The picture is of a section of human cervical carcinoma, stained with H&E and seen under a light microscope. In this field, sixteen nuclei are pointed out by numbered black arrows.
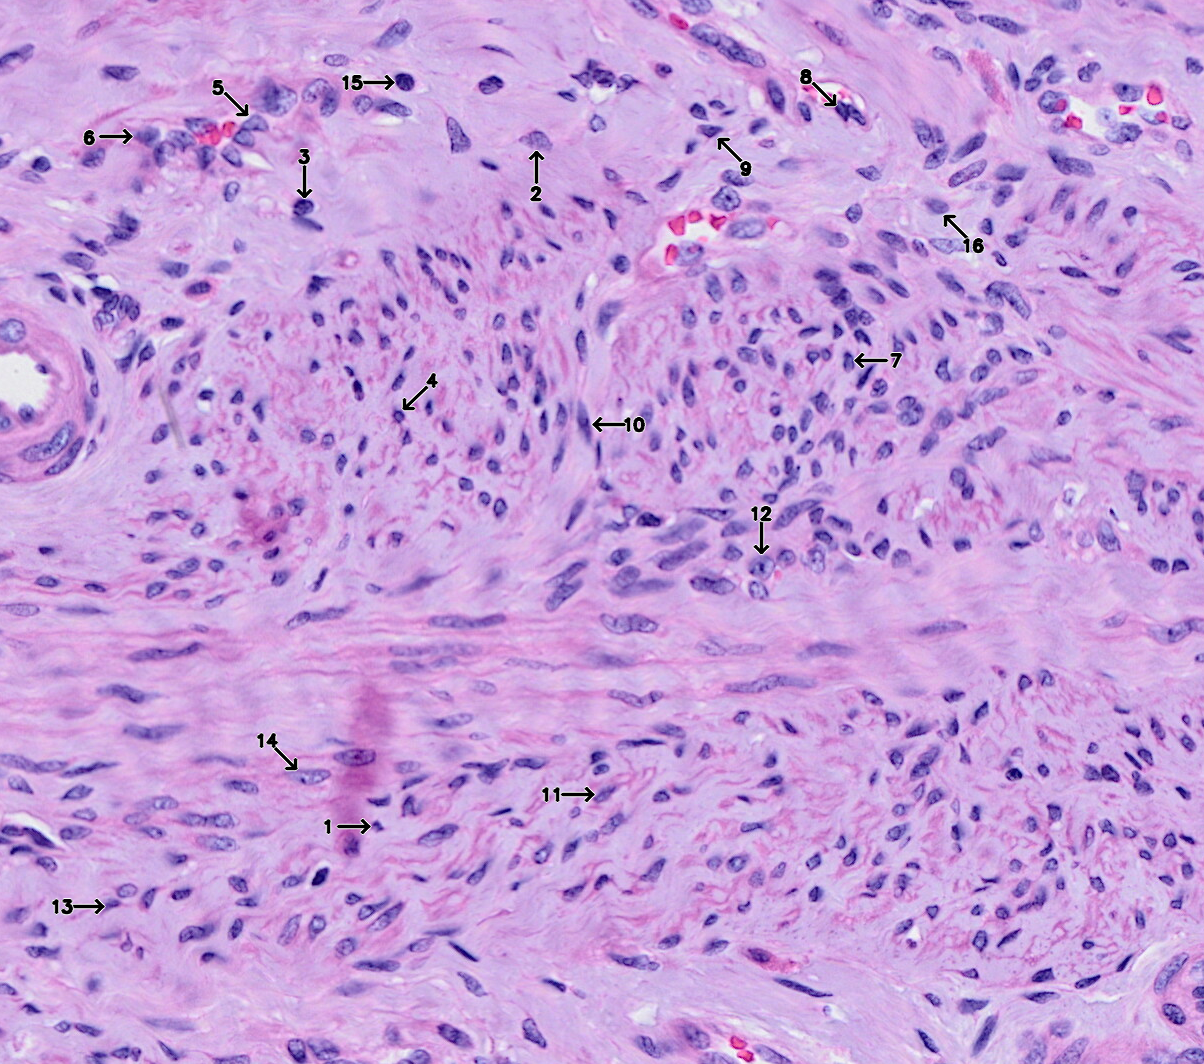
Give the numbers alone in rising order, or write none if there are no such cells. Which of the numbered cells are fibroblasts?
2, 7, 9, 10, 16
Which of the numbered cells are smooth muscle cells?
1, 4, 11, 13, 14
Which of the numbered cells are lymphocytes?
3, 15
